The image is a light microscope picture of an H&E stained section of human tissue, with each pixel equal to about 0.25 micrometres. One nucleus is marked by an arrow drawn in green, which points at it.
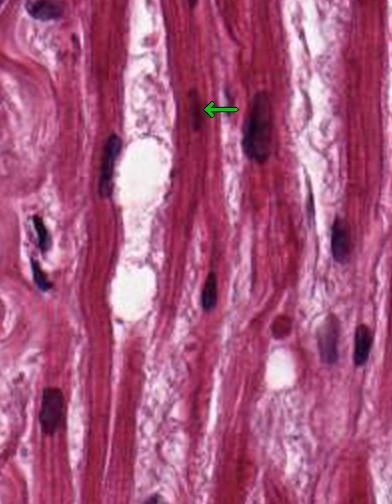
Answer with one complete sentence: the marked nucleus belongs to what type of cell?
The nucleus that has been marked belongs to a cardiomyocyte.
